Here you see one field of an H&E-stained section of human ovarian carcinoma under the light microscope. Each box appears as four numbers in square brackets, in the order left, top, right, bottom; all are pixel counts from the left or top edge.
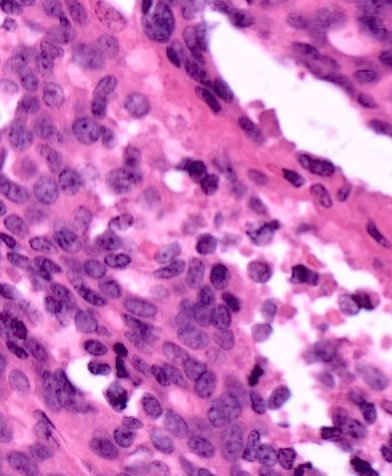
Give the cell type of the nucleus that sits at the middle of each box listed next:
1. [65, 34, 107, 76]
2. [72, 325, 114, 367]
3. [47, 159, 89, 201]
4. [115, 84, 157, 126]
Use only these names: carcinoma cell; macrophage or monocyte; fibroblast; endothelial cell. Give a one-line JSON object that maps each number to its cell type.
{"1": "carcinoma cell", "2": "macrophage or monocyte", "3": "carcinoma cell", "4": "carcinoma cell"}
